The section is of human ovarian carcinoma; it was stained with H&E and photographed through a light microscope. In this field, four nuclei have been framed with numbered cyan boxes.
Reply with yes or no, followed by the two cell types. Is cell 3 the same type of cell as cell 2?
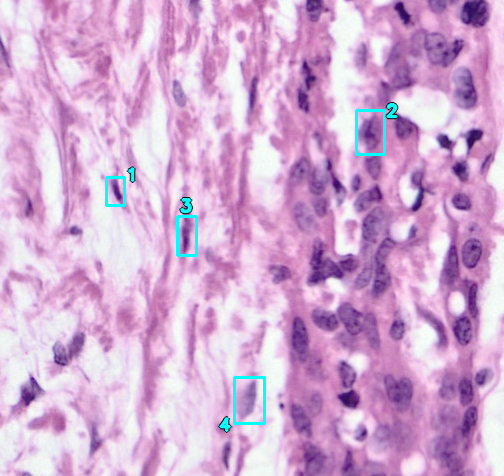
No, cell 3 is a fibroblast and cell 2 is a carcinoma cell.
